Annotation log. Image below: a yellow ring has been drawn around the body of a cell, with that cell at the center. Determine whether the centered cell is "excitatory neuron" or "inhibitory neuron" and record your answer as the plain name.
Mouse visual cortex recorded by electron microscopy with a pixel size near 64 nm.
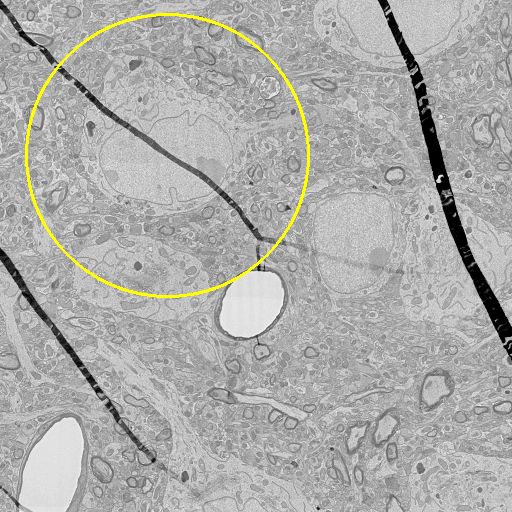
excitatory neuron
